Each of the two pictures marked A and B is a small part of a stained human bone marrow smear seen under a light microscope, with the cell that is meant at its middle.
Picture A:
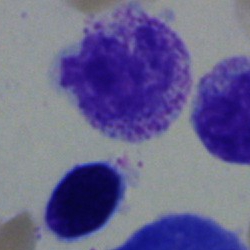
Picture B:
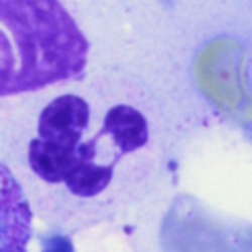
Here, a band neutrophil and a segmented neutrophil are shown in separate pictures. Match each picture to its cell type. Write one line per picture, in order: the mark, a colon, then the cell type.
A: band neutrophil
B: segmented neutrophil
